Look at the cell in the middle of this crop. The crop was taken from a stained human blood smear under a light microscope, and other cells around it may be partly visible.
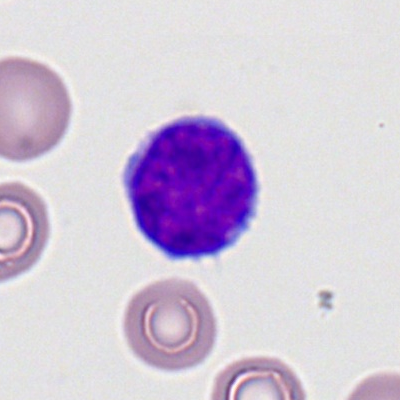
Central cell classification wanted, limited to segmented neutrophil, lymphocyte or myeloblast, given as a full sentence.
The middle of this crop holds a lymphocyte.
